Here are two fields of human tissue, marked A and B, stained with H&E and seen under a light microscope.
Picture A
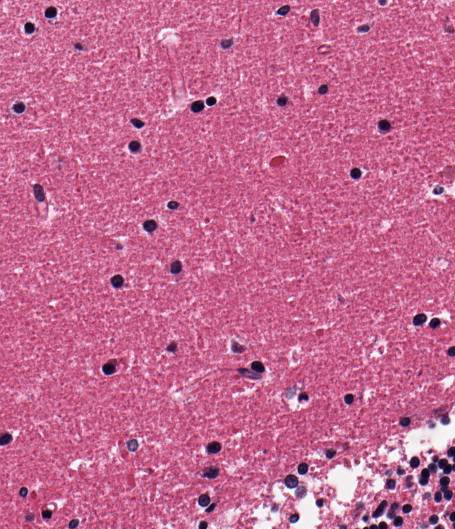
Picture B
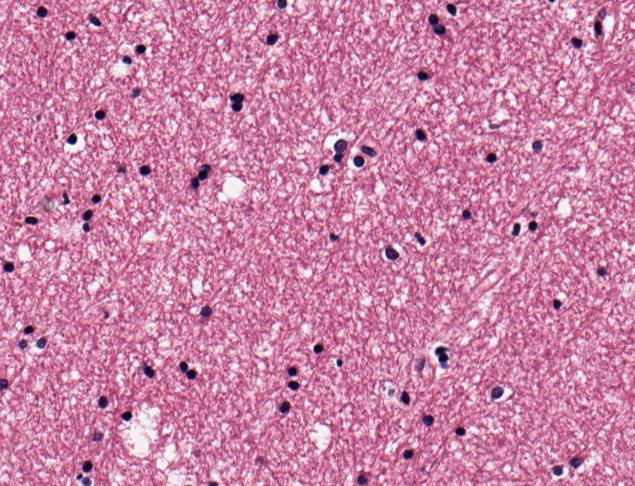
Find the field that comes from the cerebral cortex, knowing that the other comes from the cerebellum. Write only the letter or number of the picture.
B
